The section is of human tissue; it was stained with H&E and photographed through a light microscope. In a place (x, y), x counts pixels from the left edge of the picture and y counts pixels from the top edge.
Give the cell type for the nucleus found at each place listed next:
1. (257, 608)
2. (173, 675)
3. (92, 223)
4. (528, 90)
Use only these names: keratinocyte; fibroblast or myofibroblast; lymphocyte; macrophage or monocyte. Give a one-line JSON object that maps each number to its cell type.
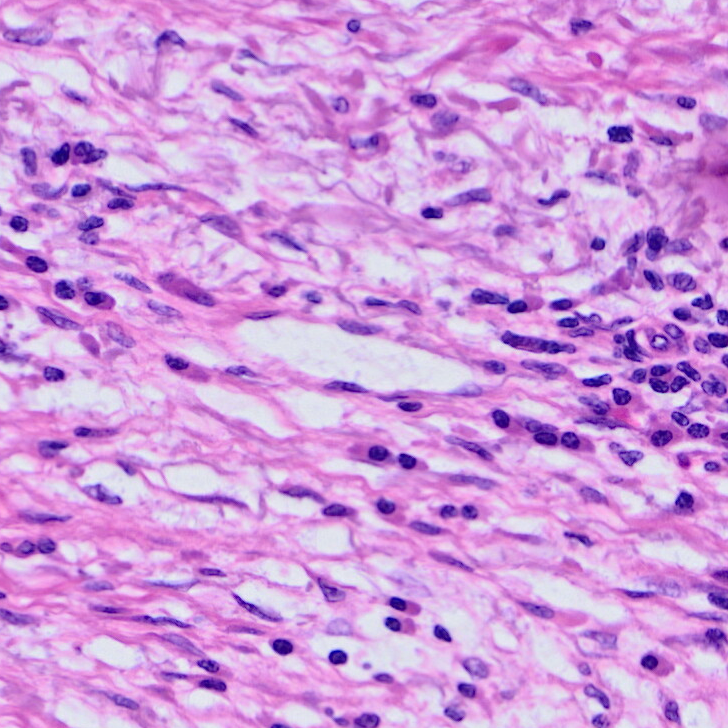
{"1": "fibroblast or myofibroblast", "2": "fibroblast or myofibroblast", "3": "lymphocyte", "4": "fibroblast or myofibroblast"}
